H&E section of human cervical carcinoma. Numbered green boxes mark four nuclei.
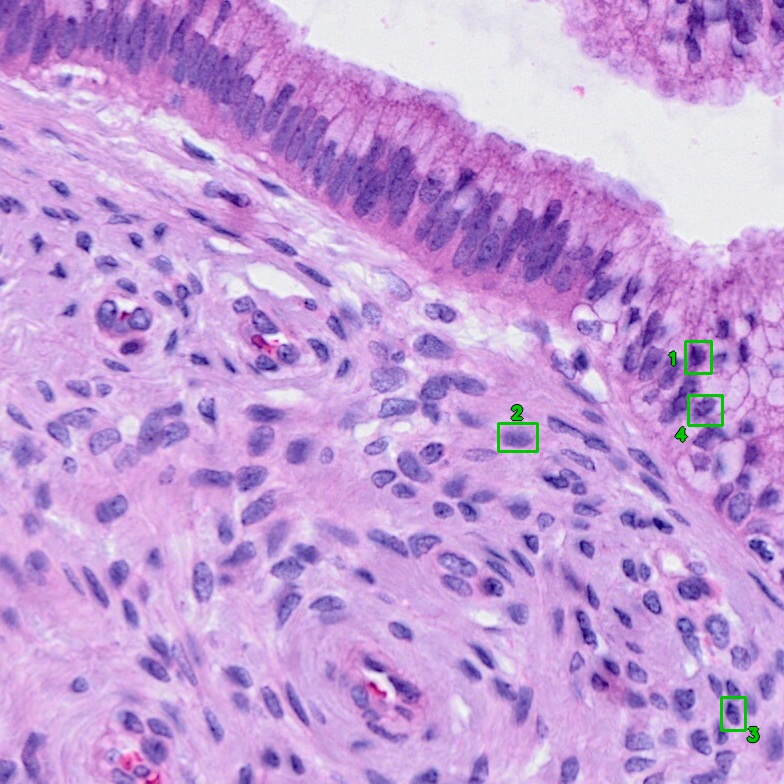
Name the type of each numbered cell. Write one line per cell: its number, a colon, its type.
1: secretory epithelial cell
2: fibroblast
3: fibroblast
4: secretory epithelial cell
